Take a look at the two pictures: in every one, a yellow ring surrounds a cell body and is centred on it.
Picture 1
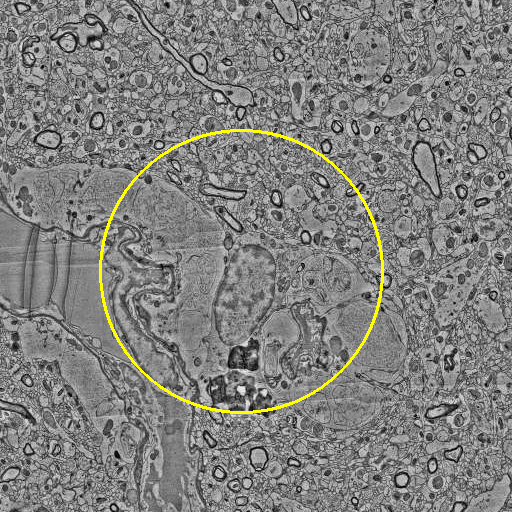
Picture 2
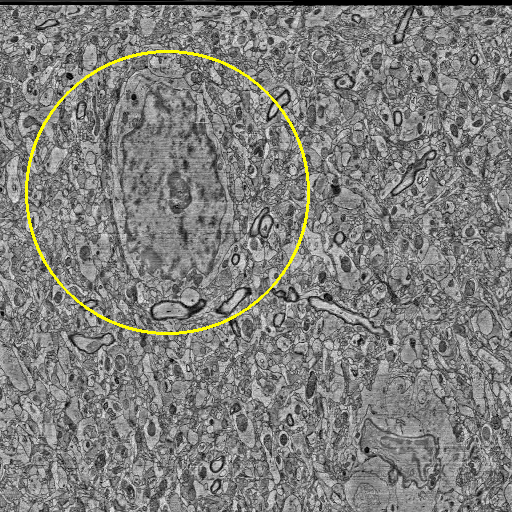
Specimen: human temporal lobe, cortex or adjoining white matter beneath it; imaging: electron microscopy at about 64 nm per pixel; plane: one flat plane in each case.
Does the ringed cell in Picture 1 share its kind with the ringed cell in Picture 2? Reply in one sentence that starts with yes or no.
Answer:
No, the two centred cells, one per picture, are of two kinds.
